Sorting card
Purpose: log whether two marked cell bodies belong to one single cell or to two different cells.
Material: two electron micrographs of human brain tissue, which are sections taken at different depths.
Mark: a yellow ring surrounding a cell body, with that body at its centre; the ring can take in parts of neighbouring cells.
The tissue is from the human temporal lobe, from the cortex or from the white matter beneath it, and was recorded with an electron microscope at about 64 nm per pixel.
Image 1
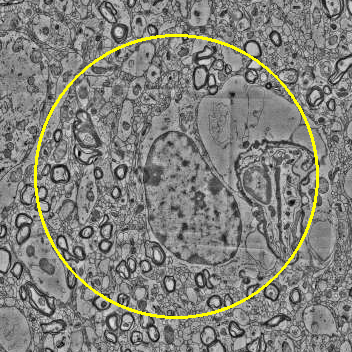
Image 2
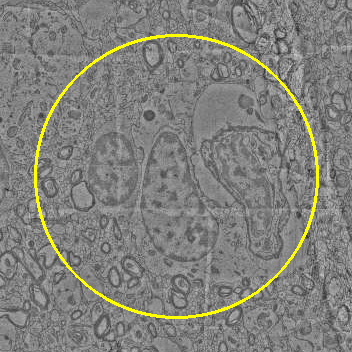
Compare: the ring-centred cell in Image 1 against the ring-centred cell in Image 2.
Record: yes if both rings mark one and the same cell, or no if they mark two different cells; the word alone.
yes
